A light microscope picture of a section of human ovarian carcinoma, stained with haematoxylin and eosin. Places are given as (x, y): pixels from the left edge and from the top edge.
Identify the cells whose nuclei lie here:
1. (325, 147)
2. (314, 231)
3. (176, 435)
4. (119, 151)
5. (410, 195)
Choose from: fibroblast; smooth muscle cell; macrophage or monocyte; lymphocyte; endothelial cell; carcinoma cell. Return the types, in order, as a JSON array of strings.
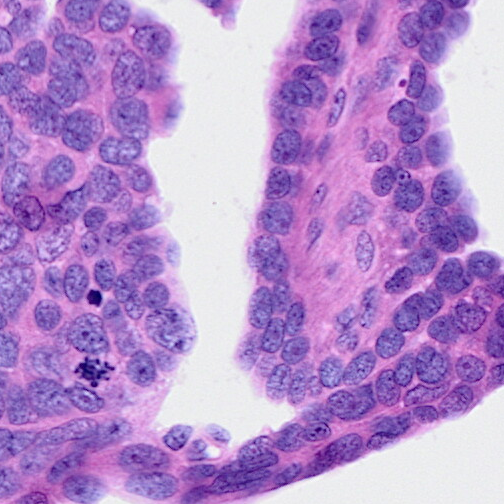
["fibroblast", "fibroblast", "macrophage or monocyte", "carcinoma cell", "carcinoma cell"]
